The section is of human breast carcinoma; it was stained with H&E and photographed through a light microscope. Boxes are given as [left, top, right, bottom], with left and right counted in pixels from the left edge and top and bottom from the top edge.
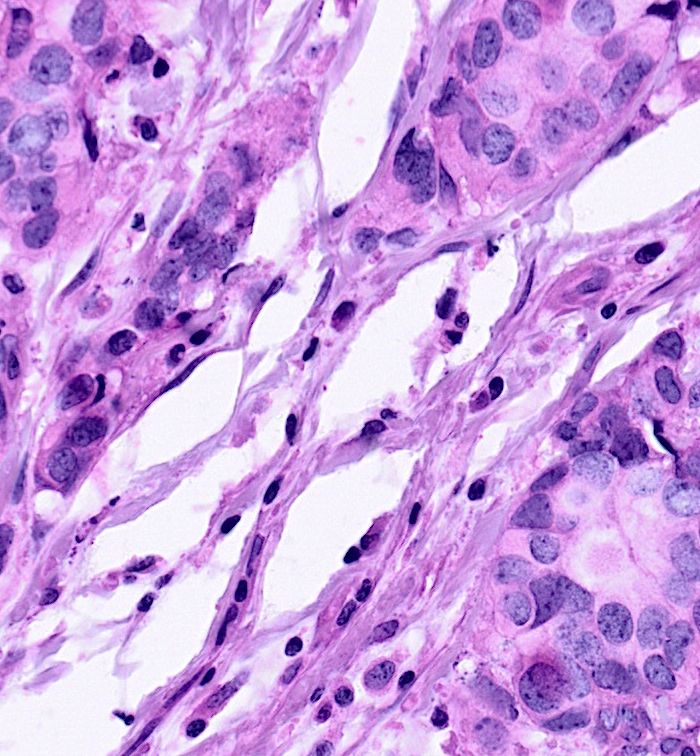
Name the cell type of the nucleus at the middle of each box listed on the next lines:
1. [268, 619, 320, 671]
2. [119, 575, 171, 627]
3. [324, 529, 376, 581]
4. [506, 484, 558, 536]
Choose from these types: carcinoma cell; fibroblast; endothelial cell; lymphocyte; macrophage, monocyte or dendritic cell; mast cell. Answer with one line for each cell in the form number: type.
1: lymphocyte
2: lymphocyte
3: lymphocyte
4: carcinoma cell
